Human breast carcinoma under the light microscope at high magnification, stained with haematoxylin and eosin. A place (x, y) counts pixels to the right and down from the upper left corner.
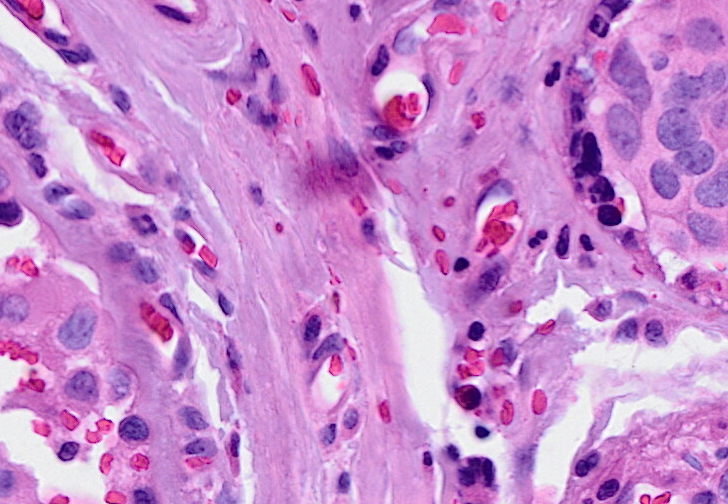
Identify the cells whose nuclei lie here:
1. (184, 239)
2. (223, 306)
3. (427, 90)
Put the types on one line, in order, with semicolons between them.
endothelial cell; fibroblast; endothelial cell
